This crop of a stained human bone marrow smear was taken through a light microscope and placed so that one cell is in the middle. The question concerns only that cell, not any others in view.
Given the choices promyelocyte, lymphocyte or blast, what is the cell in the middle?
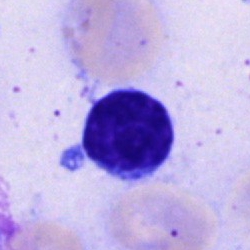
lymphocyte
